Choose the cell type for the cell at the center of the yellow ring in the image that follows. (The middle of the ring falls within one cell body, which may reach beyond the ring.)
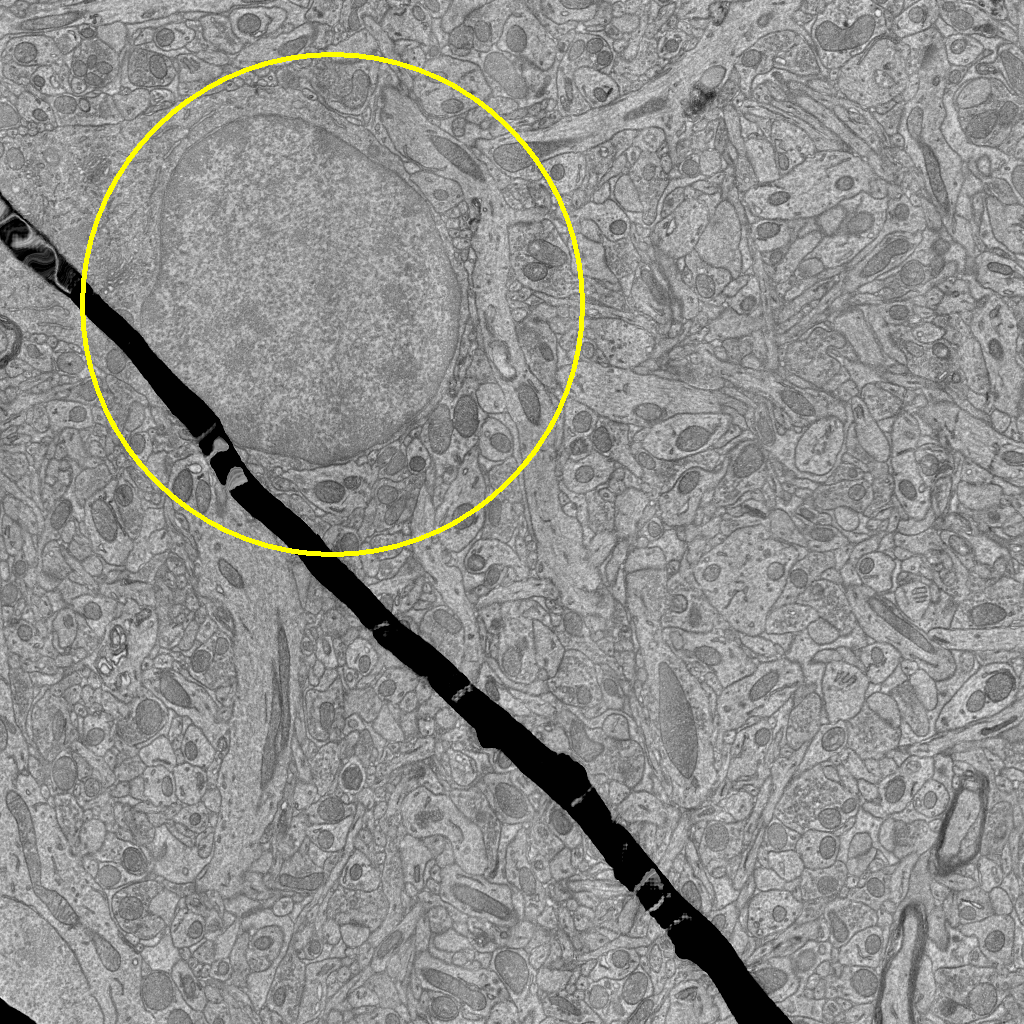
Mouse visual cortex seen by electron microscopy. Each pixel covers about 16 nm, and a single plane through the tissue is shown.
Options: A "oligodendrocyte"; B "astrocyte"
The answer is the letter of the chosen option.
A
